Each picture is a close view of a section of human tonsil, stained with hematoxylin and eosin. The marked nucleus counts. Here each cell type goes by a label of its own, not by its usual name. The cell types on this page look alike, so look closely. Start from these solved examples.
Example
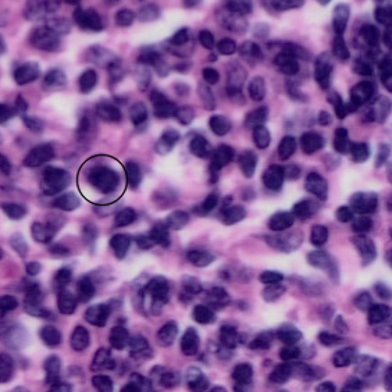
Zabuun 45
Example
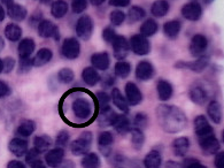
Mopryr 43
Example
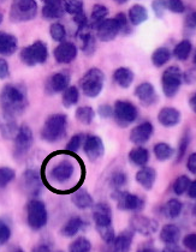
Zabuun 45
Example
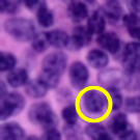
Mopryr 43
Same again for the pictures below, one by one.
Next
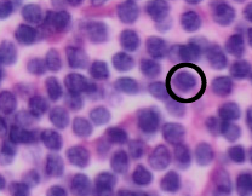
Mopryr 43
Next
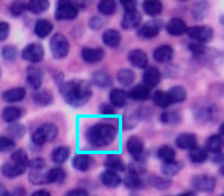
Zabuun 45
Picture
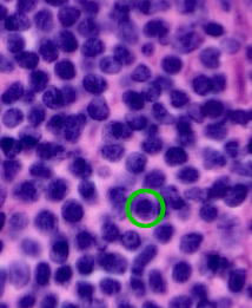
Mopryr 43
